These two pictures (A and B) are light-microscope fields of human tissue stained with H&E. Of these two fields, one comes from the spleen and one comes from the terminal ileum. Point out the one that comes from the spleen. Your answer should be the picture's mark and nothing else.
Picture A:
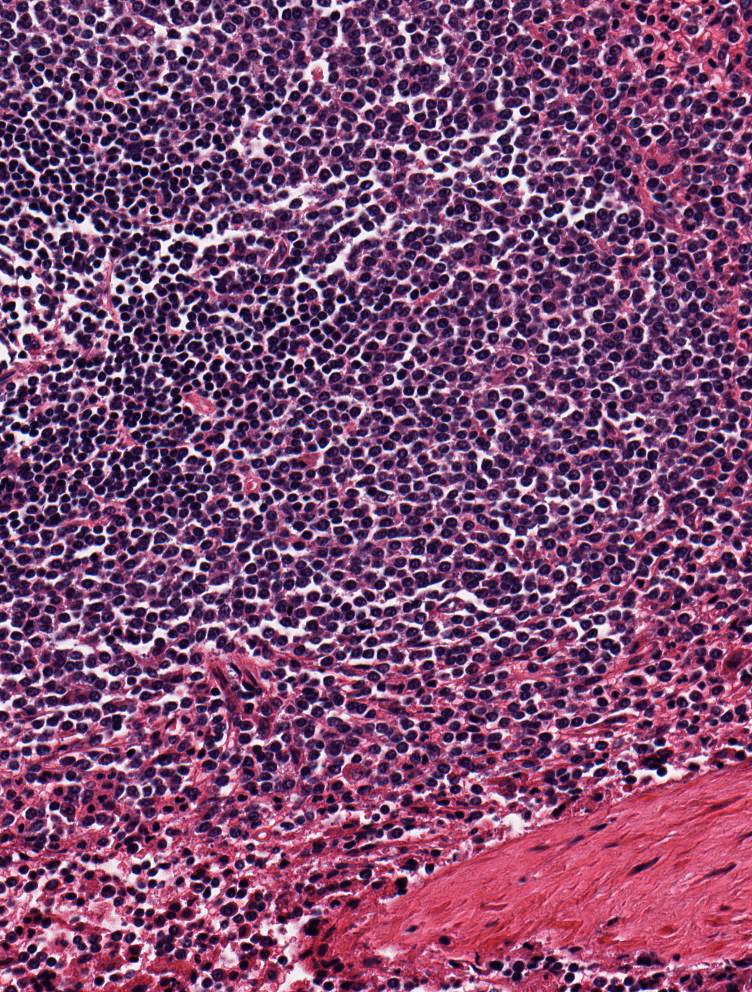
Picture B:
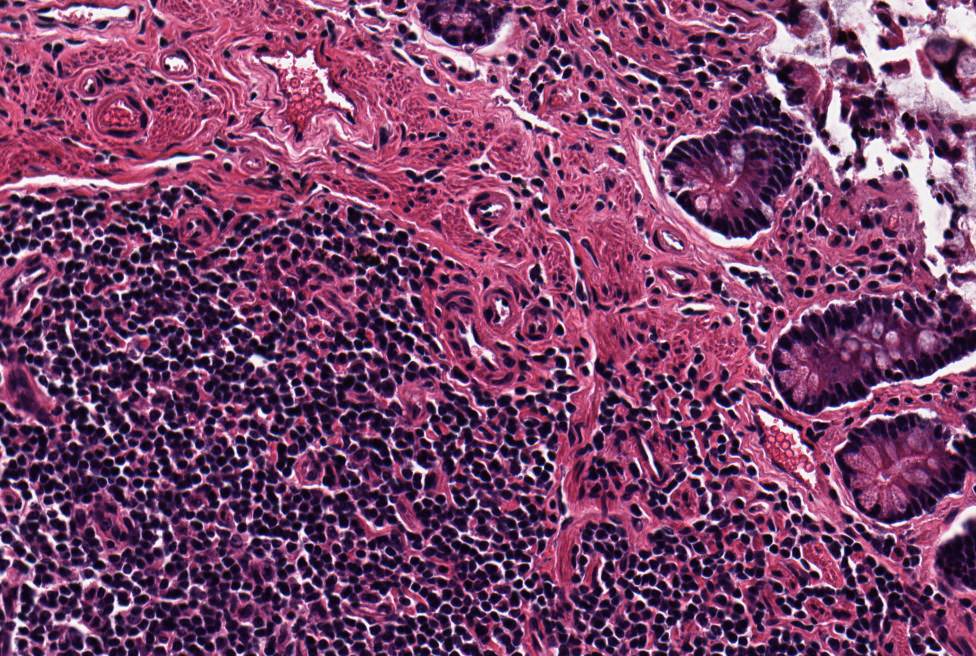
A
